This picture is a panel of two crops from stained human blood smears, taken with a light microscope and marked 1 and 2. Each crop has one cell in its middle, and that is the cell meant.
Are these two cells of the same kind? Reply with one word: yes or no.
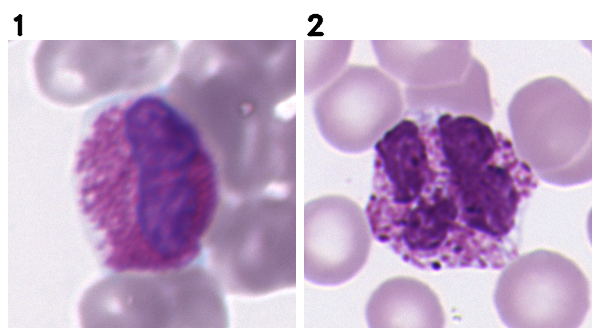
no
